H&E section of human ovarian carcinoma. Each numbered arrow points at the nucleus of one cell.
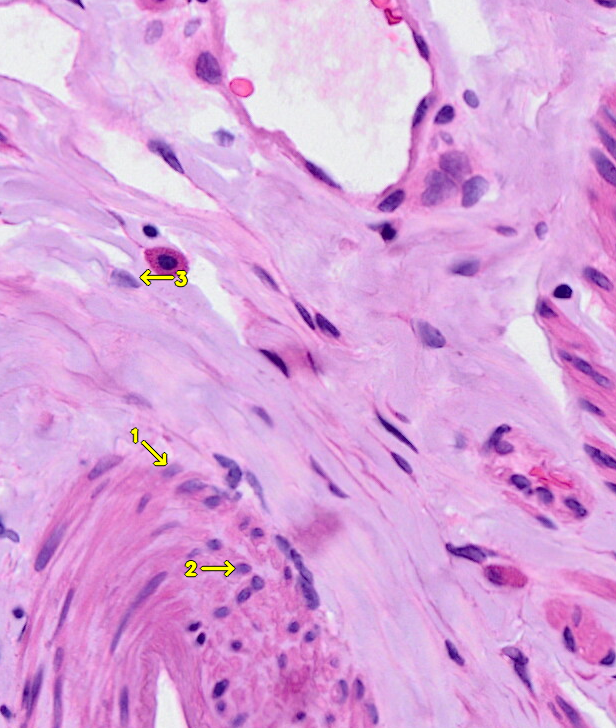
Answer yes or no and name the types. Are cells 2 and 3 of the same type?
No, the cell at number 2 is a smooth muscle cell, and the cell at number 3 is a fibroblast.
